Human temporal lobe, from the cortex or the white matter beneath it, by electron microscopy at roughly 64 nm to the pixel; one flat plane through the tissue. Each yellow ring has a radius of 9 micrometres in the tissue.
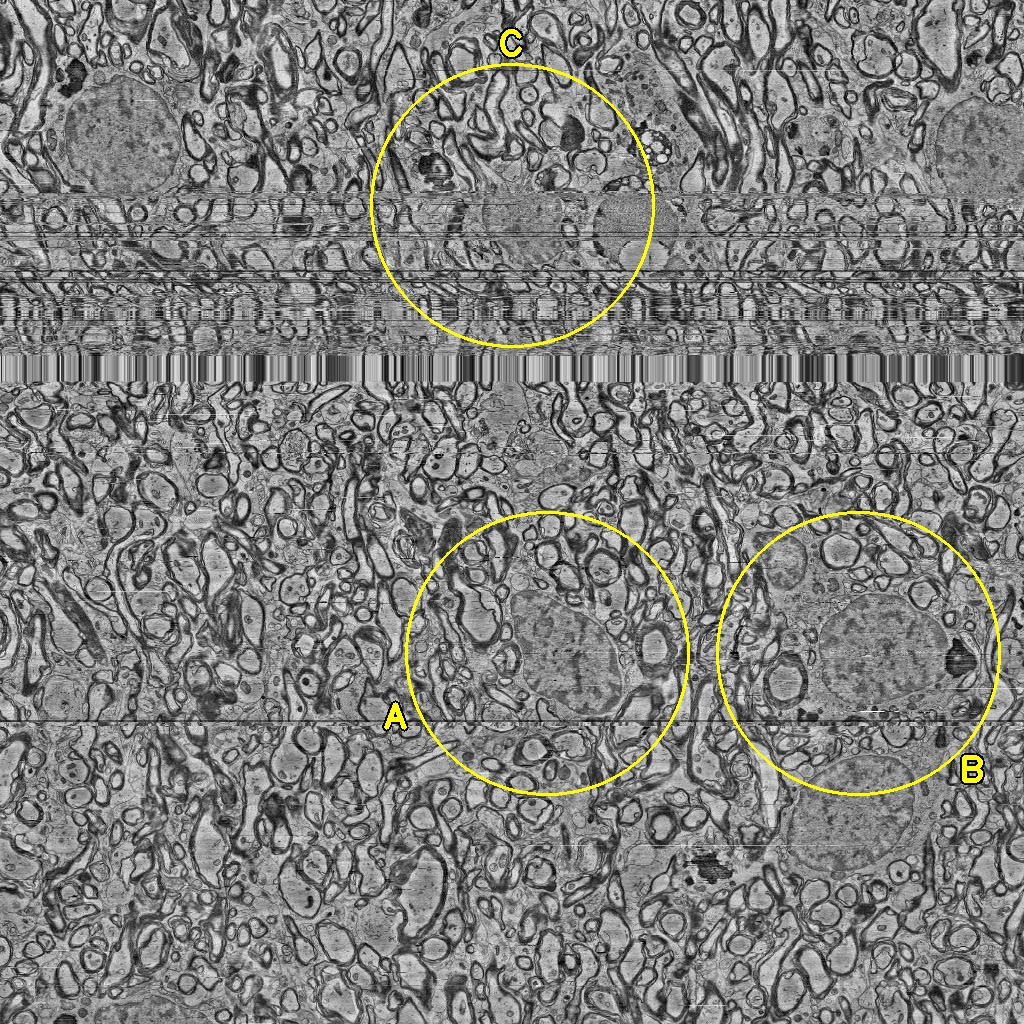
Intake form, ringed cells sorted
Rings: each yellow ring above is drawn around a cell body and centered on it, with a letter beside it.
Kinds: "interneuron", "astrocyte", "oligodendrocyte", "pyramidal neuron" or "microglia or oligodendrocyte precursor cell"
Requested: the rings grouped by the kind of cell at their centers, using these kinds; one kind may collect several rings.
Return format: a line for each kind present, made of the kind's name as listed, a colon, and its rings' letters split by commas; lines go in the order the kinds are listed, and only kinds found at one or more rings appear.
oligodendrocyte: B, C
microglia or oligodendrocyte precursor cell: A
